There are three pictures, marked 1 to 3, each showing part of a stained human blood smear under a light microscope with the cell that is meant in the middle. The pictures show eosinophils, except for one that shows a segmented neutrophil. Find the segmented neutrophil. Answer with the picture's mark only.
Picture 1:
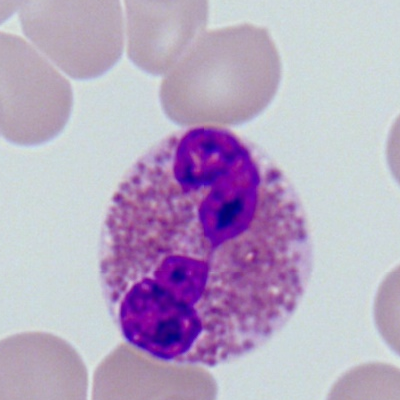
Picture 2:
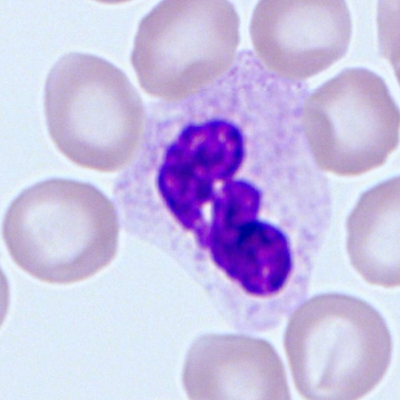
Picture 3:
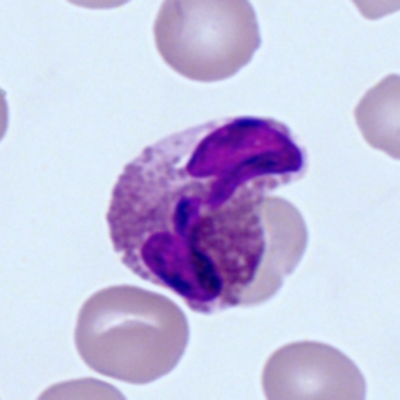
2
